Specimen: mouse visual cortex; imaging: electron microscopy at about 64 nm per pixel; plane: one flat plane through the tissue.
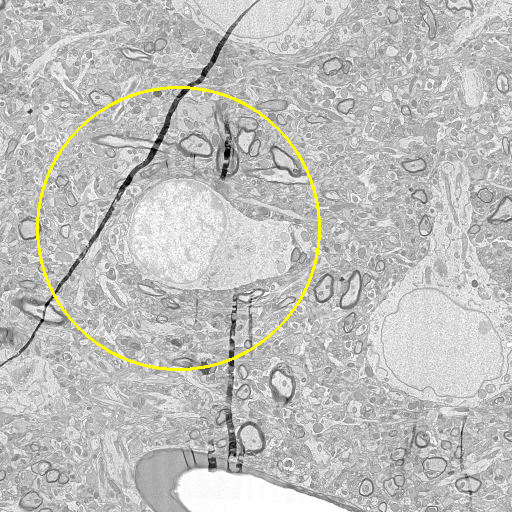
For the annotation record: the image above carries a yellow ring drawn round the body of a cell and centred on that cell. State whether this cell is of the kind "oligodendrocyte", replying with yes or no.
Yes, this cell is of that kind.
